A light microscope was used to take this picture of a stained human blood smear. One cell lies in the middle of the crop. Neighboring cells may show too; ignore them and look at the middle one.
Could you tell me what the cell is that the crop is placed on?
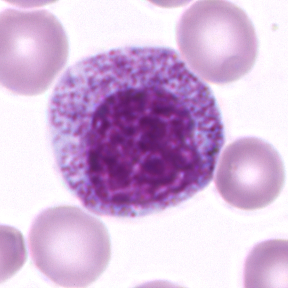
myelocyte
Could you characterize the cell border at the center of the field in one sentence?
The edge of the cell is unbroken and smooth, bearing no projections.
